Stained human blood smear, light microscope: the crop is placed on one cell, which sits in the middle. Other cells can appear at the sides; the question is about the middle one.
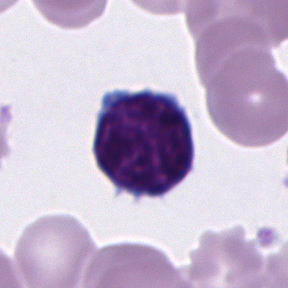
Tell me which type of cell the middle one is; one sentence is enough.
On this slide crop, the central cell is a typical lymphocyte.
